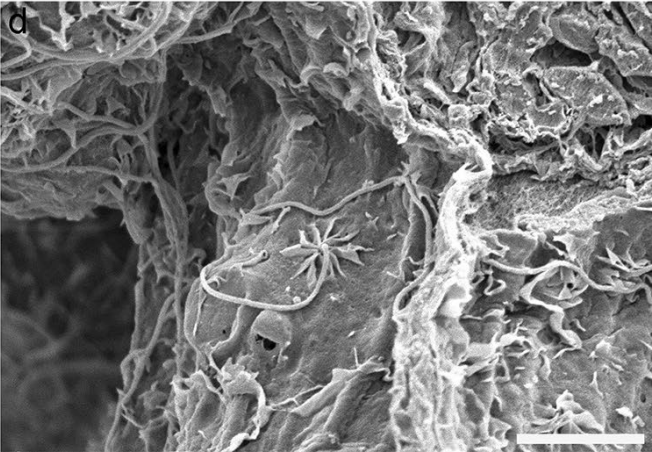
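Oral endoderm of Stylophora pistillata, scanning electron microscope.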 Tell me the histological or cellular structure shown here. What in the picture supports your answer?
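Near the centre a small star-shaped cluster of short radiating projections sits on a smooth cell surface. A single long filament emerges from near this radiating cluster. The answer: «flower like» pattern.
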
